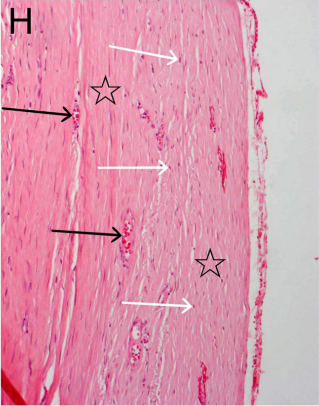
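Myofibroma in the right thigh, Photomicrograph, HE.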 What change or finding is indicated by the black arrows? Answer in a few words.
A: vascular proliferation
